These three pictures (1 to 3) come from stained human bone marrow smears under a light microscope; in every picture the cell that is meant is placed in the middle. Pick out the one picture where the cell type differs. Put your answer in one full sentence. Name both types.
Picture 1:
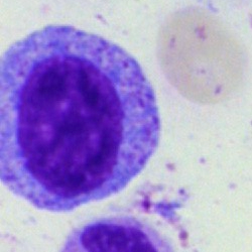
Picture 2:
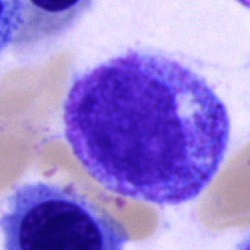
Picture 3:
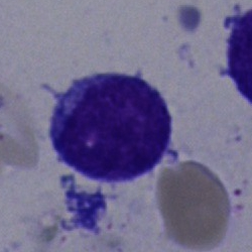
Unlike the rest, which show promyelocytes, picture 3 shows a blast.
